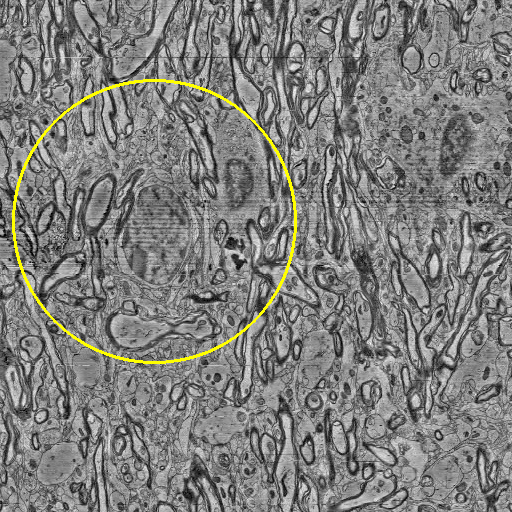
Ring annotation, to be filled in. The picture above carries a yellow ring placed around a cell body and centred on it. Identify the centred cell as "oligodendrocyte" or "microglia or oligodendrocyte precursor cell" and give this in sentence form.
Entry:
The cell in the middle of the ring is a microglial cell or oligodendrocyte precursor cell.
